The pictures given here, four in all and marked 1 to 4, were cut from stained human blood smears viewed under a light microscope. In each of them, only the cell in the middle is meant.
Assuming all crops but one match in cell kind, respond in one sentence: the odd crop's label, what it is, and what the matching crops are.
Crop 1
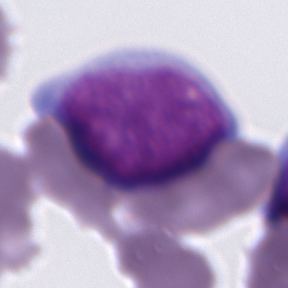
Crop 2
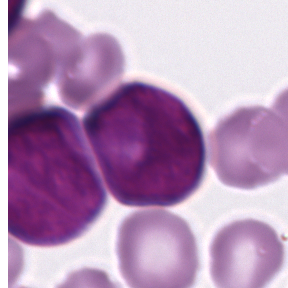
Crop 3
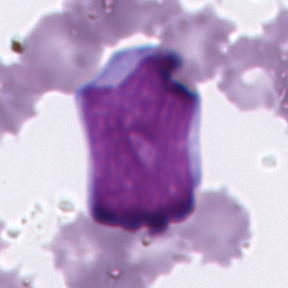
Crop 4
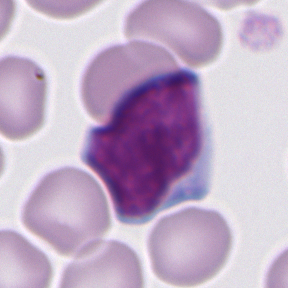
The central cell of crop 4 is a typical lymphocyte, while the other crops show myeloblasts.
